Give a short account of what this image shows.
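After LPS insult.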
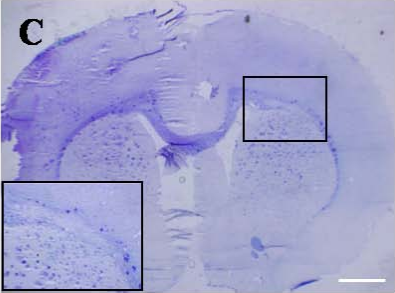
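The corpus callosum arches across the midline as a darker blue band above the two striata, whose cut fibre bundles appear as many small dark dots. On one side the white matter band above the striatum looks paler and less evenly blue, and the boxed area, enlarged in the inset, shows scattered small purple cell nuclei along its edge.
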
